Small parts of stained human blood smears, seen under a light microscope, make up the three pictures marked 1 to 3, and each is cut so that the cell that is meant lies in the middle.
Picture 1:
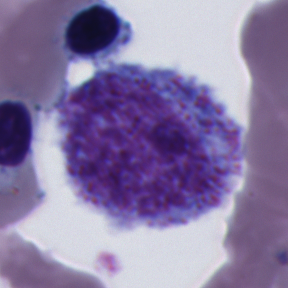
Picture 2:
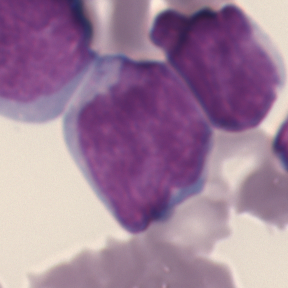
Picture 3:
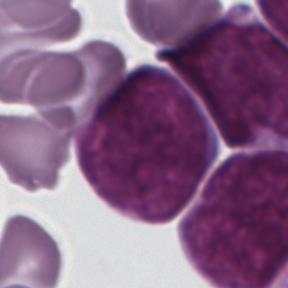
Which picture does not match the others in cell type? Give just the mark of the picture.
1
